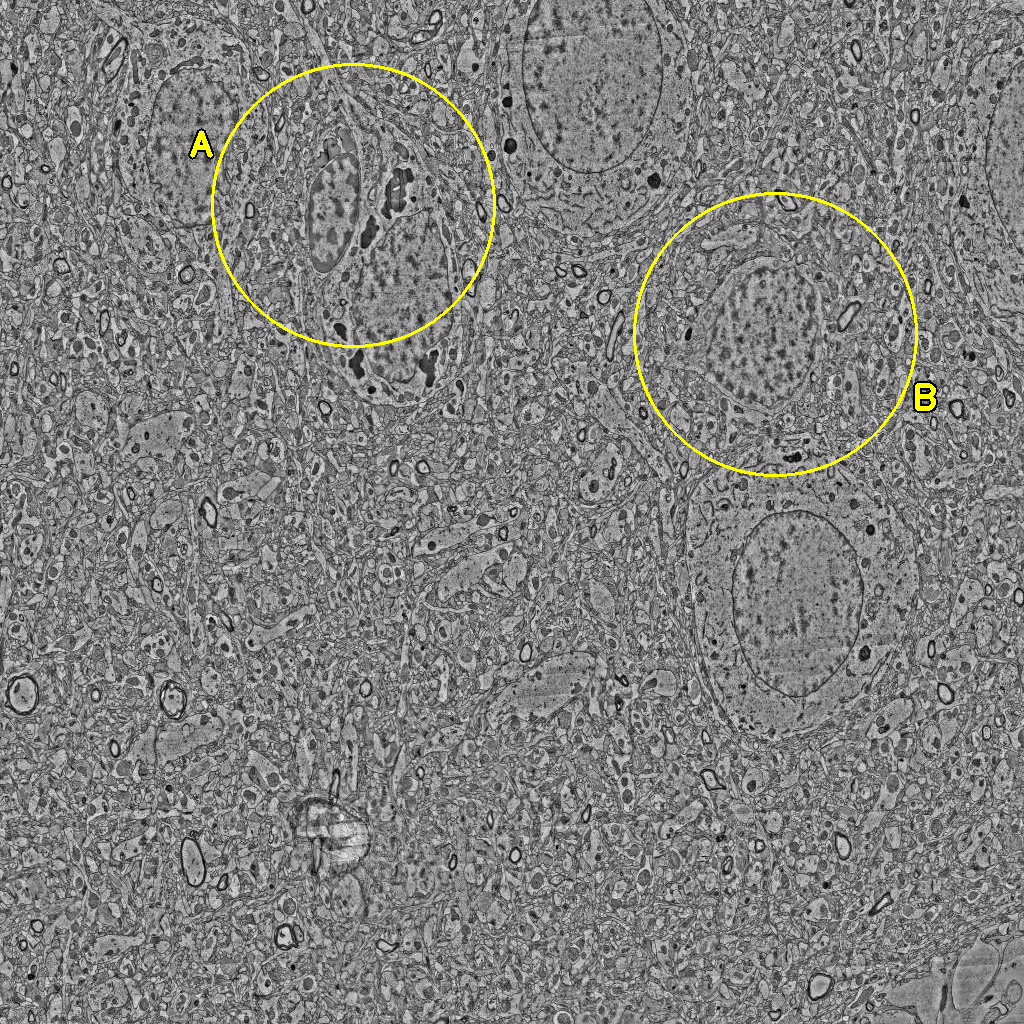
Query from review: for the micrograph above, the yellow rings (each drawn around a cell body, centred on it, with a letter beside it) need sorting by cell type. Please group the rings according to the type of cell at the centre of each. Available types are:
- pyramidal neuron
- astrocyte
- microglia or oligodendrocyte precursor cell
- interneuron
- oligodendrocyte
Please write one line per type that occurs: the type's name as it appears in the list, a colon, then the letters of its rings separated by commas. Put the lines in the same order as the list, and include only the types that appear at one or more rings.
microglia or oligodendrocyte precursor cell: A
interneuron: B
